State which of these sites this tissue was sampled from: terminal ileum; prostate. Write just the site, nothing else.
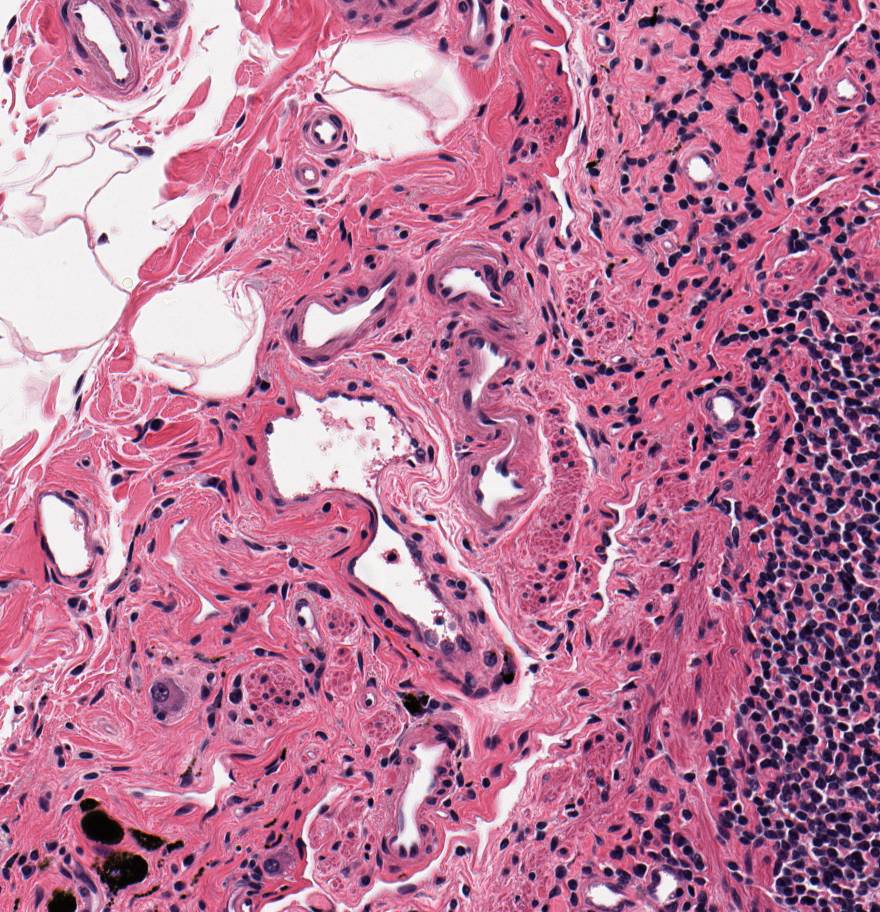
terminal ileum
